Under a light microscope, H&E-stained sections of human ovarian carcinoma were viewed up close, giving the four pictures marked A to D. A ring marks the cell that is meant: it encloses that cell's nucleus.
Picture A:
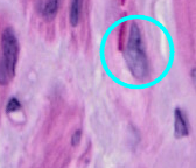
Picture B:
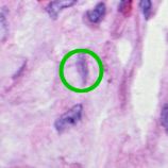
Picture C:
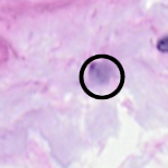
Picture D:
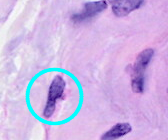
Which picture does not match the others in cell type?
A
